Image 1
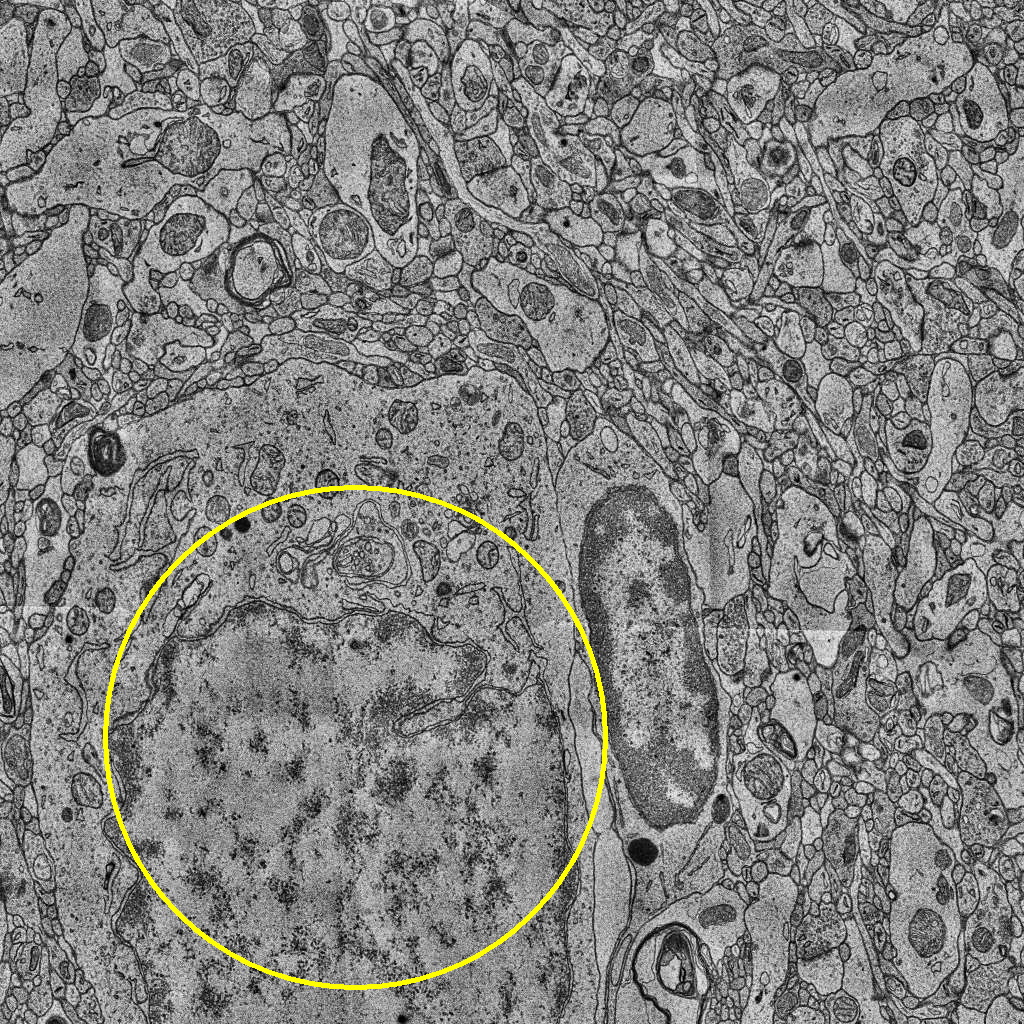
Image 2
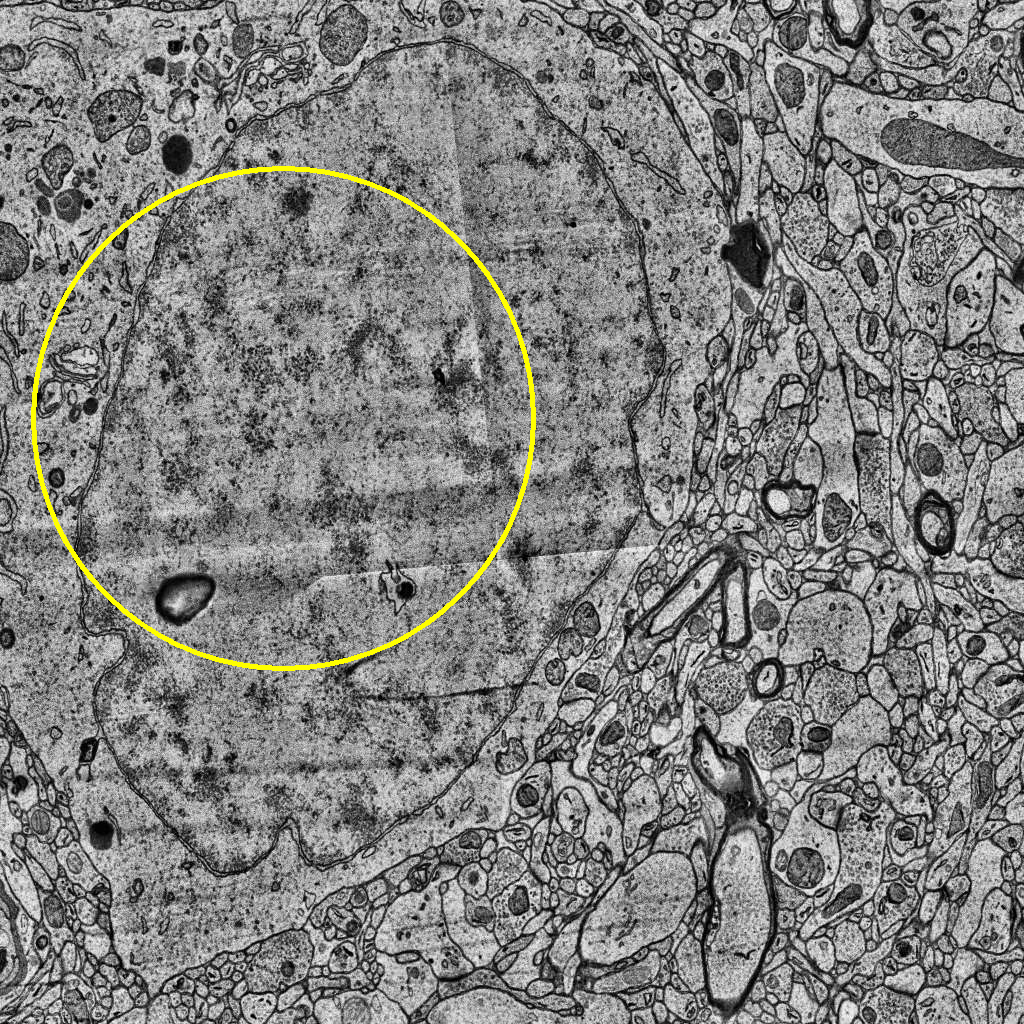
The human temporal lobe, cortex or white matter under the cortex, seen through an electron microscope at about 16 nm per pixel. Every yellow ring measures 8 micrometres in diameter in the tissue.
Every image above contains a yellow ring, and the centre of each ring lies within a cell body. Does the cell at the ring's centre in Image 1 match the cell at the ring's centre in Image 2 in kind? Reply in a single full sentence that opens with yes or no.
Yes, the cell at the ring's centre in Image 1 is the same kind as that in Image 2.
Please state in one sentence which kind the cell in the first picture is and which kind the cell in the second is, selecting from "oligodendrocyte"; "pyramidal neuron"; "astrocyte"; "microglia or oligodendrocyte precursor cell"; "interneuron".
Each of the two pictures has an interneuron at the ring centre.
